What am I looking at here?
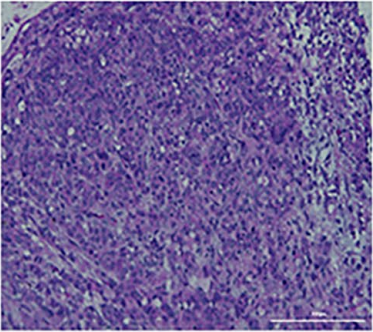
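This is a solid tumour mass made of densely packed cells whose crowded blue-purple nuclei leave little room for pink cytoplasm. The cells form a continuous sheet with few gaps, and a looser, paler strip of tissue runs along one edge of the field.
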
